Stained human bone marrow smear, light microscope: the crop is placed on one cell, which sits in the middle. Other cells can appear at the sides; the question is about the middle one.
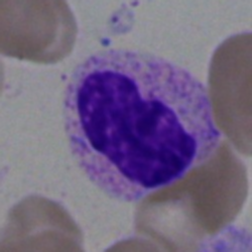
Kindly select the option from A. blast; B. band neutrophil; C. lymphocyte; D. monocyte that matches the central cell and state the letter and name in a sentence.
The correct identification, given in option B, is that the central cell is a band neutrophil.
